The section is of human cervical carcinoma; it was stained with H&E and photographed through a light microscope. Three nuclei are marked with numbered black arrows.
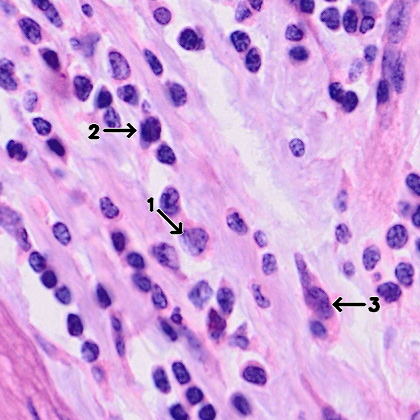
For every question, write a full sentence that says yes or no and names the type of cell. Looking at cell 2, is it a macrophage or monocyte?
No, at number 2 sits a lymphocyte, not a macrophage or monocyte.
